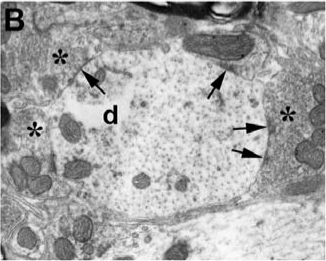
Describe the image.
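Electron micrograph of neuropil with a large pale dendritic profile in the centre, containing scattered small organelles and a few mitochondria. Around its edge lie several smaller profiles packed with small round clear synaptic vesicles and containing mitochondria. Where these terminals meet the dendrite, the apposed membranes show short thickened segments, the synaptic contacts. Membranes and organelles are shown in ordinary grey contrast throughout, without any selective dark staining of the contacts. Further mitochondria and membrane-bound profiles fill the surrounding neuropil.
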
